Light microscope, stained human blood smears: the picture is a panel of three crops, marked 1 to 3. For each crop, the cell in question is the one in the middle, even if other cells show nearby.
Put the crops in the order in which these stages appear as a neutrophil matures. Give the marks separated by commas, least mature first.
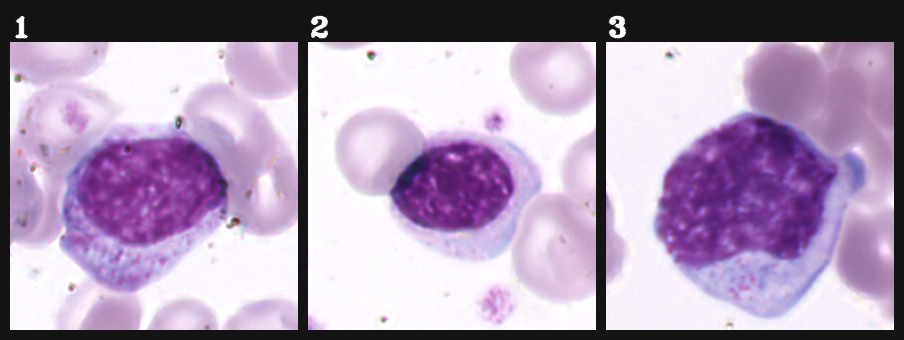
3, 1, 2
